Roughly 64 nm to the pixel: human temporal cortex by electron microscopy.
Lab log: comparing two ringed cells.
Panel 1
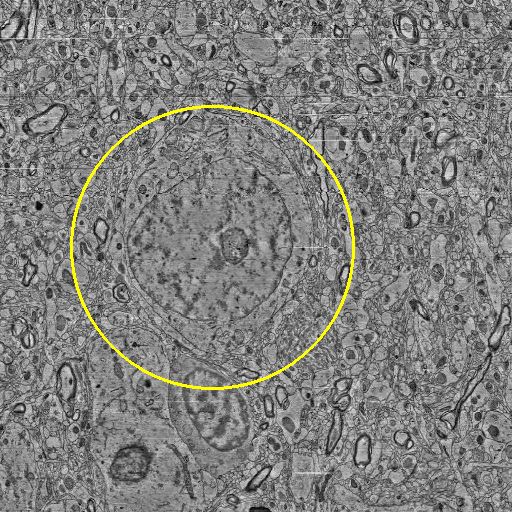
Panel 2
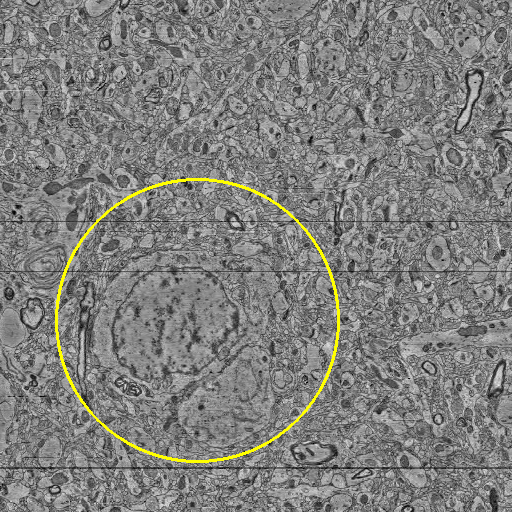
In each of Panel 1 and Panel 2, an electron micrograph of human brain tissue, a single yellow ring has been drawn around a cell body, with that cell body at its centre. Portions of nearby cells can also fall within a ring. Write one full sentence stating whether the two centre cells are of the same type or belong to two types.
The cells at the ring centres in Panel 1 and Panel 2 belong to two types.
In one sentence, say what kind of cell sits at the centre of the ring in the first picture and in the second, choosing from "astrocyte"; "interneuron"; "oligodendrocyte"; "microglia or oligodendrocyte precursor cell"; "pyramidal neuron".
The first picture's ringed cell is a pyramidal neuron, while the second picture's is an interneuron.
